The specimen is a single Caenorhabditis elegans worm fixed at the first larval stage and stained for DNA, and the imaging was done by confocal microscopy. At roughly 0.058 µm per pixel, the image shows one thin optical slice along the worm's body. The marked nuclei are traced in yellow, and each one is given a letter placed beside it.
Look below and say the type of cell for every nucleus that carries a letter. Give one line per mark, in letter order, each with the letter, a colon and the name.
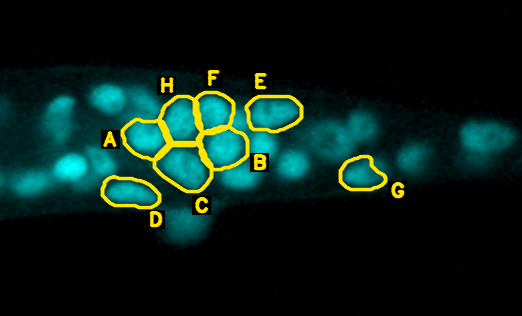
A: rectal epithelial cell
B: neuron
C: rectal epithelial cell
D: rectal epithelial cell
E: body wall muscle cell
F: enteric muscle cell
G: hypodermal cell (hyp)
H: neuron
